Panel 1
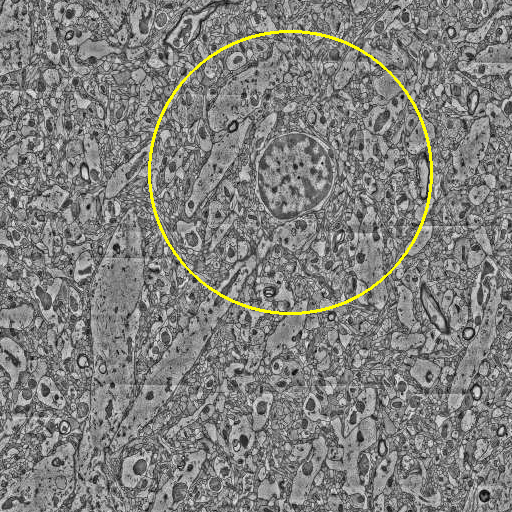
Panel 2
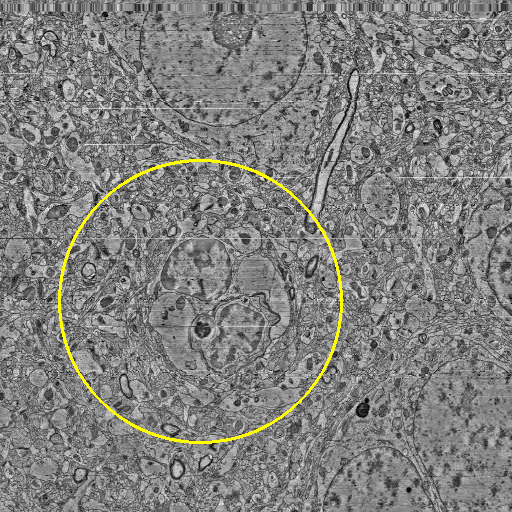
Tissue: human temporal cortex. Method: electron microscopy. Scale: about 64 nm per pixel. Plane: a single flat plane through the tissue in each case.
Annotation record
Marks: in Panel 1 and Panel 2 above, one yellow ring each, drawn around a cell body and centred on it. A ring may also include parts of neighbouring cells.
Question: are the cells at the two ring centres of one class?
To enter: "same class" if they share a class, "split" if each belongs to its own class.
same class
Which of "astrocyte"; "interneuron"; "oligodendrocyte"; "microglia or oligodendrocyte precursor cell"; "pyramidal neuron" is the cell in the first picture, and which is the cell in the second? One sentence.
Both cells are the same kind, each one being a microglial cell or oligodendrocyte precursor cell.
